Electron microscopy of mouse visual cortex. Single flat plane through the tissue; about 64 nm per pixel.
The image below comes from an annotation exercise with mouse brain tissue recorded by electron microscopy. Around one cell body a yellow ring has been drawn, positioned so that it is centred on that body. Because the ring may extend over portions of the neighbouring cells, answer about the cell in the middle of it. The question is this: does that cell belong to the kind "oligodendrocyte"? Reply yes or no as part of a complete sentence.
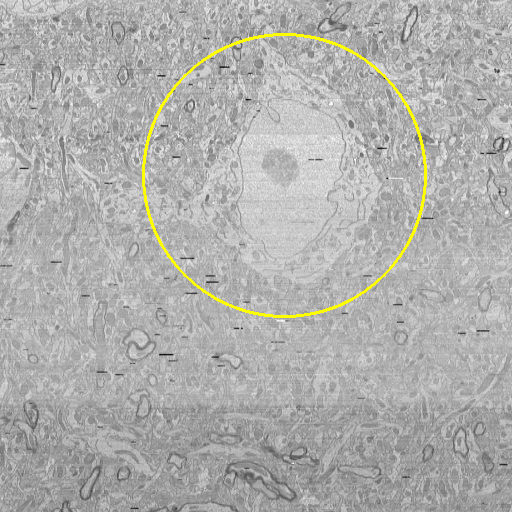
No, in the image the cell in the middle of the ring is of another kind.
